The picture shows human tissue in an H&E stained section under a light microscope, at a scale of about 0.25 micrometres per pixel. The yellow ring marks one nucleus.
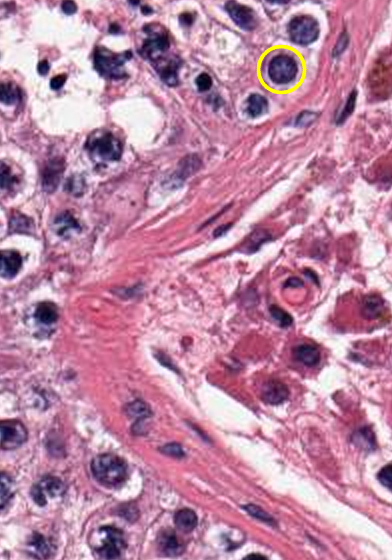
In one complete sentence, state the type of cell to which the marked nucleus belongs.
Singled out by the mark is the nucleus of a spermatogonium.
